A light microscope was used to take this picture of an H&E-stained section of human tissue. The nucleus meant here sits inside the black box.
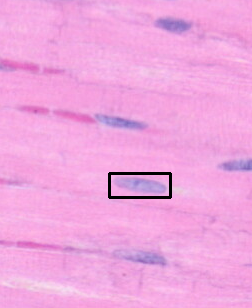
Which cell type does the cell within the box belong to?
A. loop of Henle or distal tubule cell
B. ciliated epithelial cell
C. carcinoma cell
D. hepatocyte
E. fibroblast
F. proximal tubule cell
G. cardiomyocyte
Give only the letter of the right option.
G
